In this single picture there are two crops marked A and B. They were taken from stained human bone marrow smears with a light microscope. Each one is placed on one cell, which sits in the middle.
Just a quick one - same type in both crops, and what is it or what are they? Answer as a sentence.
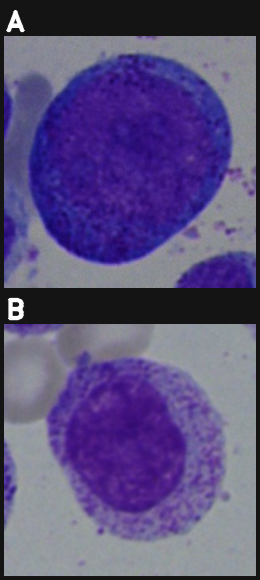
No, crop A should be called a promyelocyte, and crop B should be called a myelocyte.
